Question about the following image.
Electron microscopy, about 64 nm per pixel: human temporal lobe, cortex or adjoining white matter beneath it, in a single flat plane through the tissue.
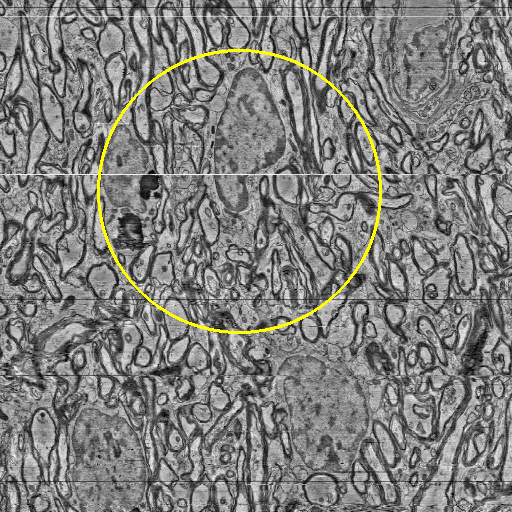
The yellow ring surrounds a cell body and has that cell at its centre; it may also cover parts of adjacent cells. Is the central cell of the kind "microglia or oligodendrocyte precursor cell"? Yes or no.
Yes, it is of that kind.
